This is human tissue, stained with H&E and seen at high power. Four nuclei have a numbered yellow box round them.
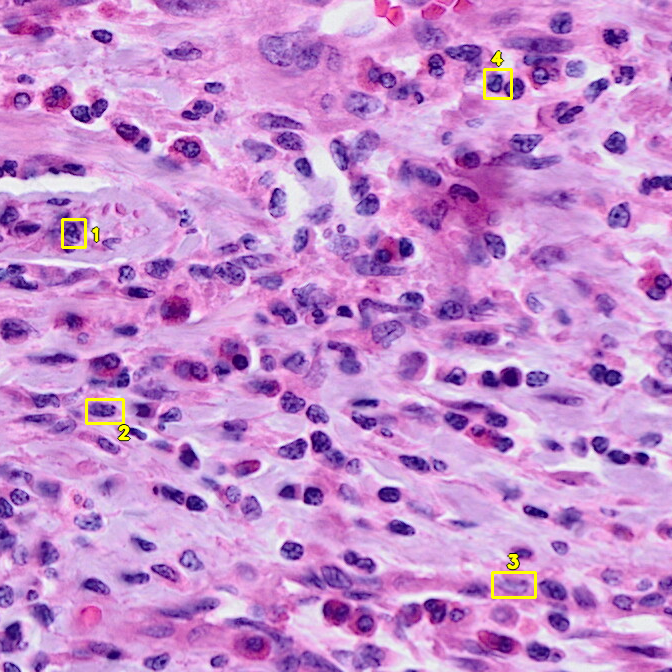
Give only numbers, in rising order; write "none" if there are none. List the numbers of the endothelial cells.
3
